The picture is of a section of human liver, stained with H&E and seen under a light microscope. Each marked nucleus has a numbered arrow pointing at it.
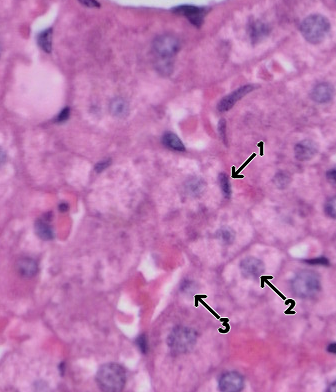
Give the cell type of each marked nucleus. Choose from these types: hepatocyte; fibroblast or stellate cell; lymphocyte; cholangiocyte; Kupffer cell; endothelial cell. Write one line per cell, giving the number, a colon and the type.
1: endothelial cell
2: hepatocyte
3: hepatocyte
